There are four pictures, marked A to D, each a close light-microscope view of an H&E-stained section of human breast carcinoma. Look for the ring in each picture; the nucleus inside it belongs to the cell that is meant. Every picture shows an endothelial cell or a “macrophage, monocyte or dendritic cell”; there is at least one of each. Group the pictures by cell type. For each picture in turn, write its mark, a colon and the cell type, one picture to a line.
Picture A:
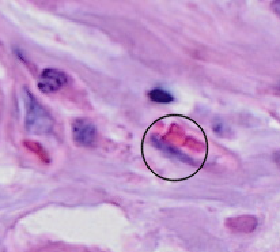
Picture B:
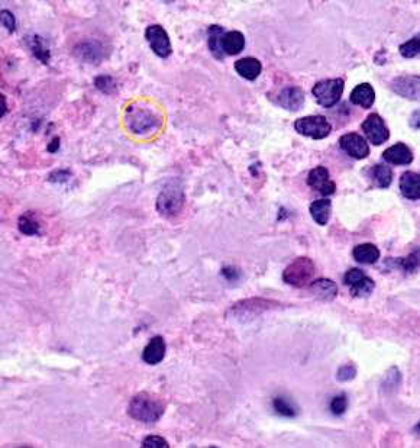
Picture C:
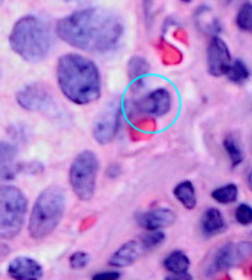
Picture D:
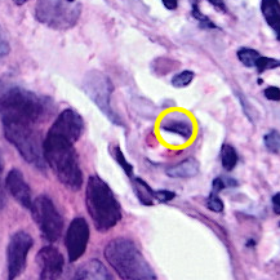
A: endothelial cell
B: macrophage, monocyte or dendritic cell
C: endothelial cell
D: endothelial cell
